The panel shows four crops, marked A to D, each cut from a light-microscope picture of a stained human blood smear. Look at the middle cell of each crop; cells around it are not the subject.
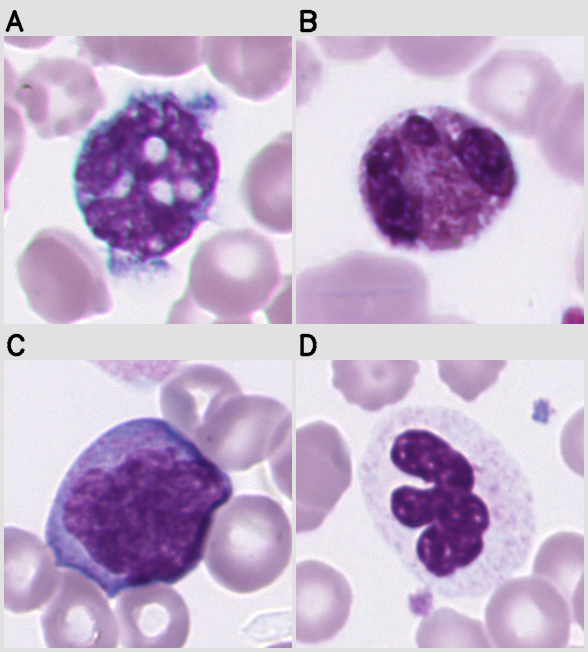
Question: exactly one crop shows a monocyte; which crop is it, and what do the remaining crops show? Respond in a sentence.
Among the crops, crop A shows a monocyte, while crop B is an eosinophil, crop C is a promyelocyte and crop D is a neutrophil.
